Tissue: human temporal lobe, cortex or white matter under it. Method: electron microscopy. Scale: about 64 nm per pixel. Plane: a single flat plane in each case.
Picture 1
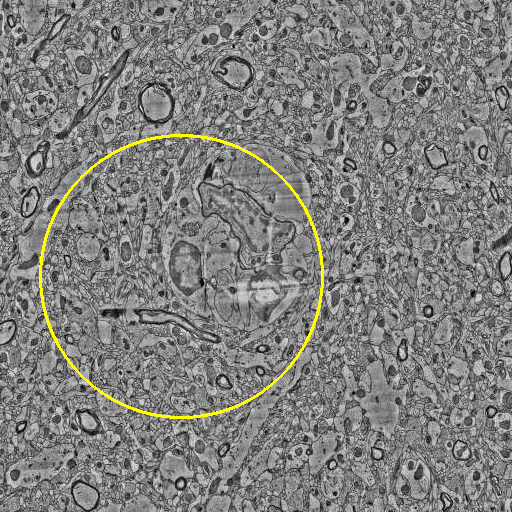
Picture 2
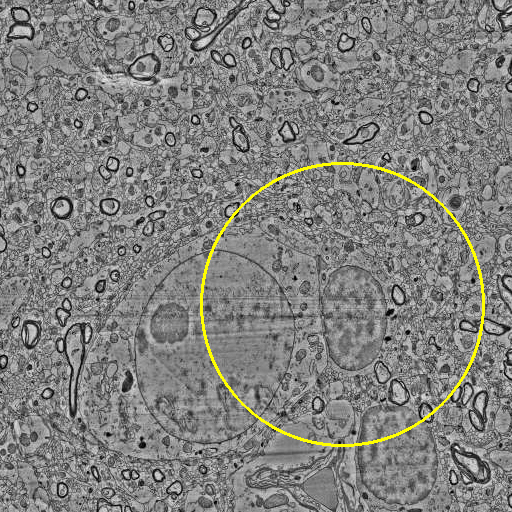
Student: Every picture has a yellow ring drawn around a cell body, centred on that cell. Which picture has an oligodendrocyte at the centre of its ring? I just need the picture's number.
2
